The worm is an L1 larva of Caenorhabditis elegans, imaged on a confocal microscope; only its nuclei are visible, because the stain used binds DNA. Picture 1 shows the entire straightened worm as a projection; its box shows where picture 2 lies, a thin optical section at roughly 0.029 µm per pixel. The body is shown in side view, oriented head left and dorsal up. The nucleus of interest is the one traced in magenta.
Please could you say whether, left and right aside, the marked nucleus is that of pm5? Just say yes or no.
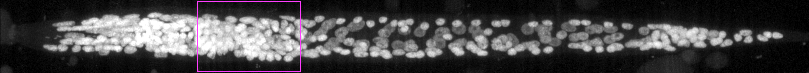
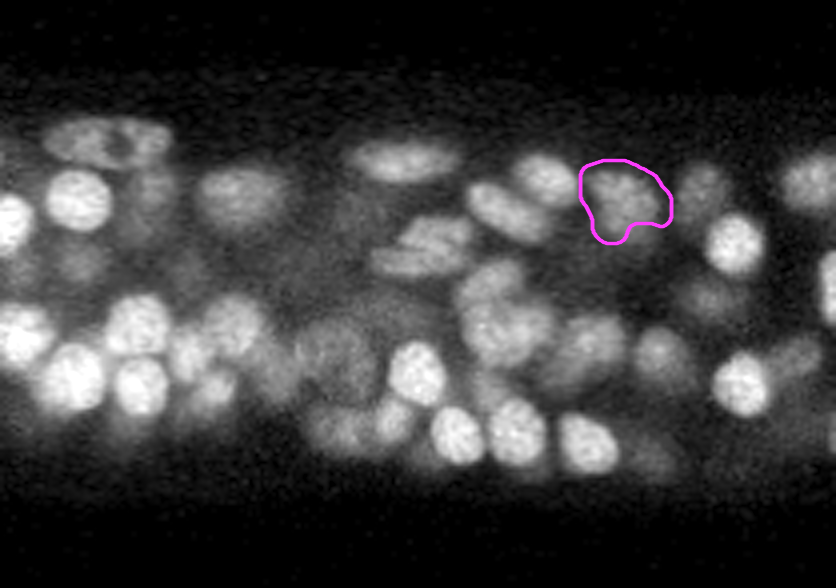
no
